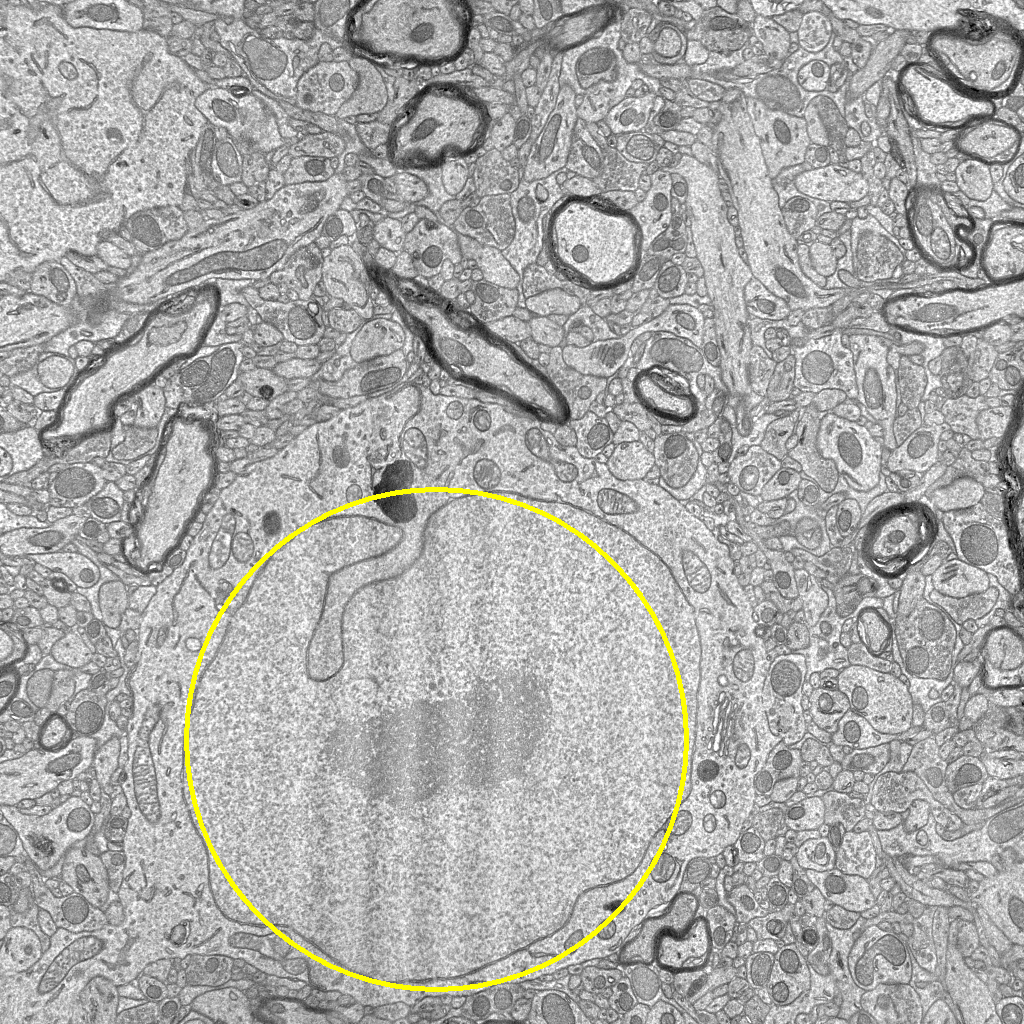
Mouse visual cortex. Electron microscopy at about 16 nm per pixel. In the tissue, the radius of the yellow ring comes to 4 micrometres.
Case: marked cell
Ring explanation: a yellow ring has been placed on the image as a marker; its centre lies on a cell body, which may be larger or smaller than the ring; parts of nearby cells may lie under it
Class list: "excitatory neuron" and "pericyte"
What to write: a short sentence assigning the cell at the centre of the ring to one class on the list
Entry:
The cell at the ring's centre is an excitatory neuron.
